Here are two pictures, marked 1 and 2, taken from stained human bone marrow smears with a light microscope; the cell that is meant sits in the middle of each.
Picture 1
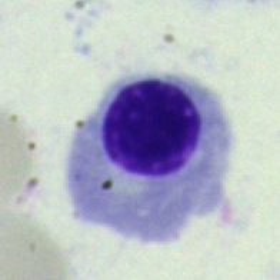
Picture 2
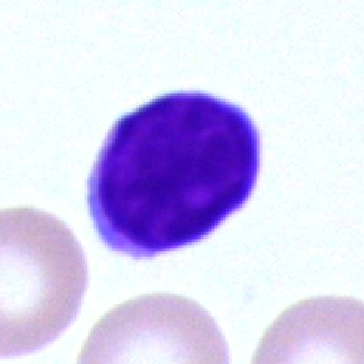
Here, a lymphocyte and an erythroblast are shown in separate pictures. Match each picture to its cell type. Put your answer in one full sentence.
In picture 1 the cell is an erythroblast; in picture 2, a lymphocyte.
